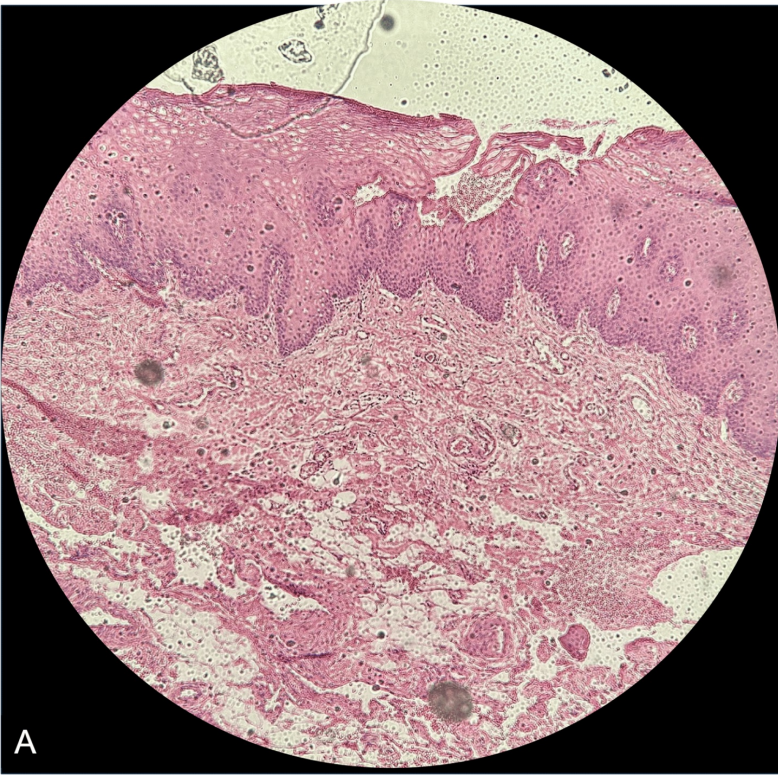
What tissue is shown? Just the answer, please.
Stratified squamous epithelium.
